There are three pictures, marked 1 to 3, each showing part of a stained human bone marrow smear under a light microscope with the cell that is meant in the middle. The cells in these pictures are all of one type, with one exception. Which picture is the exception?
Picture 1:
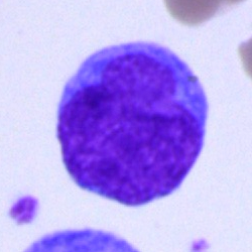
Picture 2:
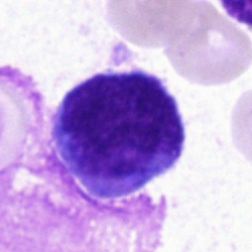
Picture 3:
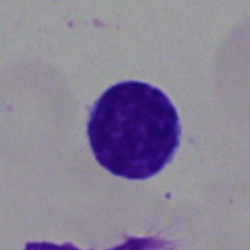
3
